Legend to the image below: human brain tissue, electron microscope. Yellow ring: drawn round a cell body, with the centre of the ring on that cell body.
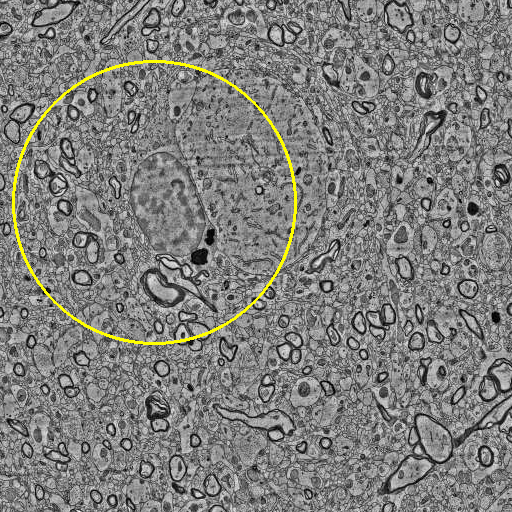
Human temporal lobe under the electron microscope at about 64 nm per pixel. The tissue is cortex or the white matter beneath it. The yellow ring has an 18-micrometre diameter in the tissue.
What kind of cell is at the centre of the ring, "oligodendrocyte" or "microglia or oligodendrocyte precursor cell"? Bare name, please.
oligodendrocyte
